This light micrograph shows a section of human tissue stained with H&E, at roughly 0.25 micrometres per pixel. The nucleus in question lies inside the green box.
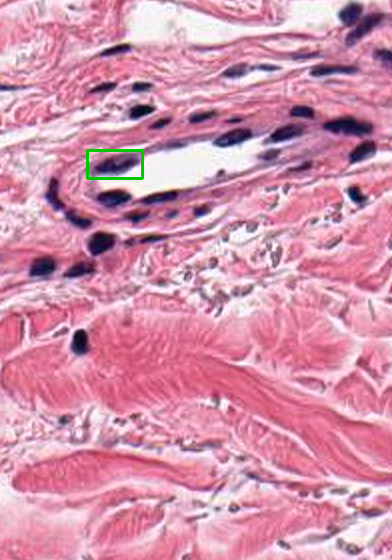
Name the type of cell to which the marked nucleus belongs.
endothelial cell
